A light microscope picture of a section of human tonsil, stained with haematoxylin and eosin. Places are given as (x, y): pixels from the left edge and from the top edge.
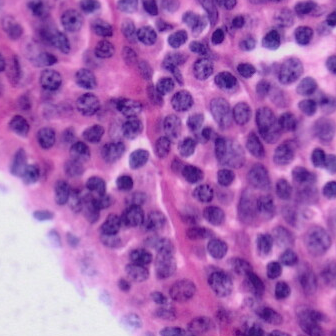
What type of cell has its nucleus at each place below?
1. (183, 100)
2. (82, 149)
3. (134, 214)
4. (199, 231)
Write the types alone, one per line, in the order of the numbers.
plasma cell
plasma cell
plasma cell
squamous epithelial cell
